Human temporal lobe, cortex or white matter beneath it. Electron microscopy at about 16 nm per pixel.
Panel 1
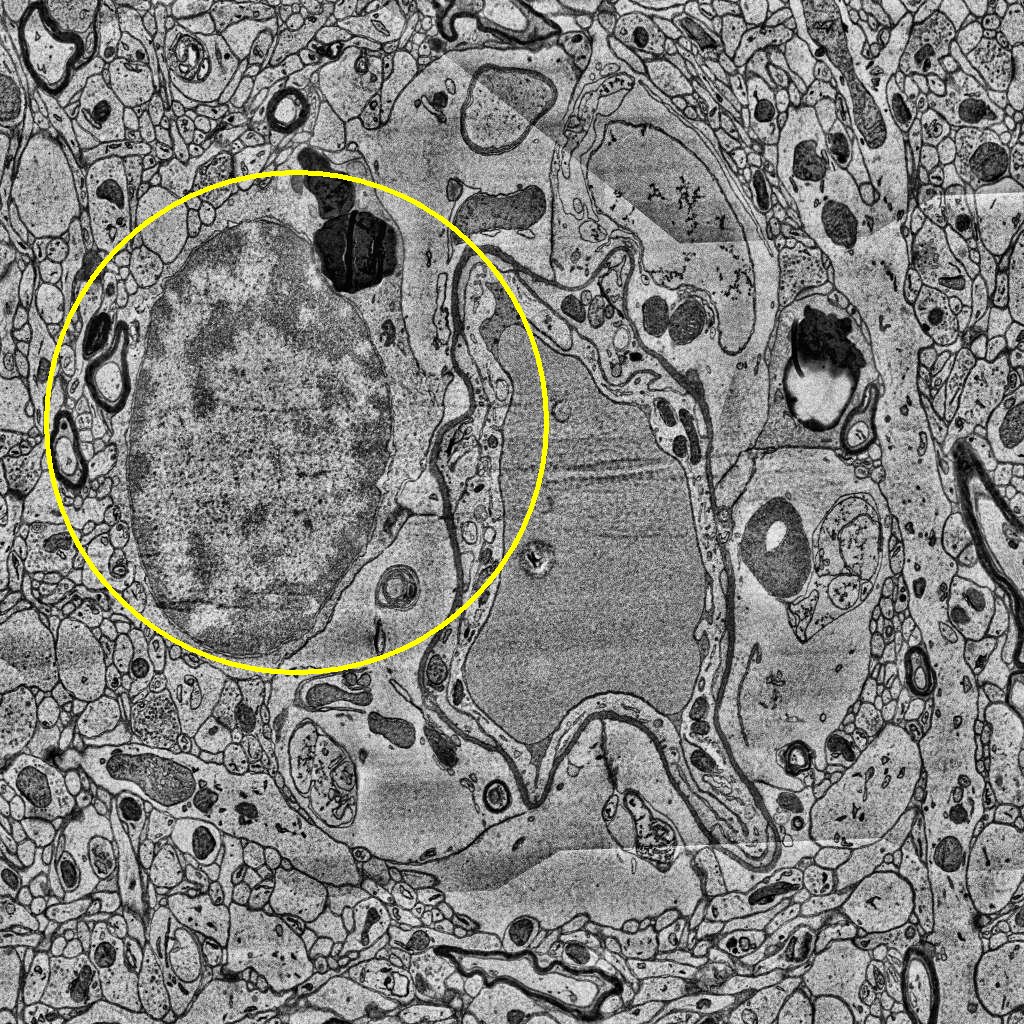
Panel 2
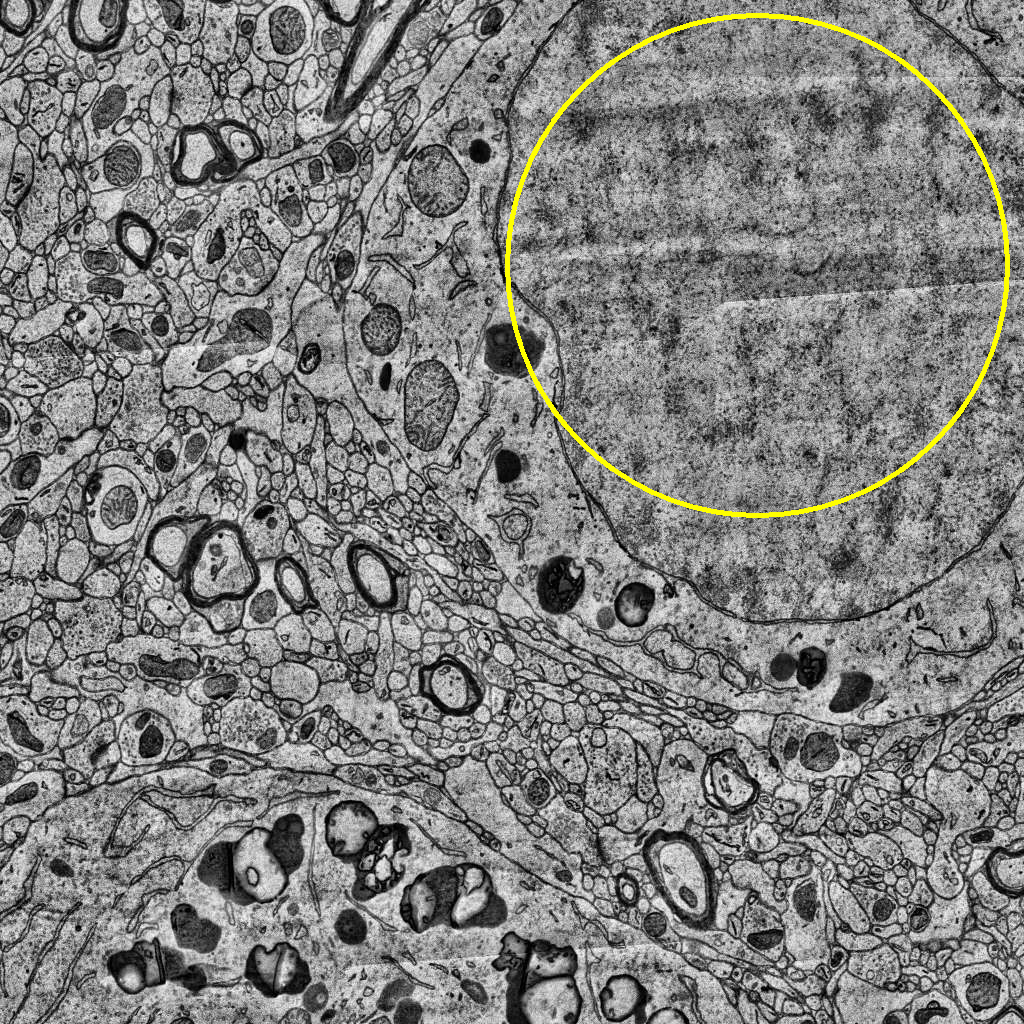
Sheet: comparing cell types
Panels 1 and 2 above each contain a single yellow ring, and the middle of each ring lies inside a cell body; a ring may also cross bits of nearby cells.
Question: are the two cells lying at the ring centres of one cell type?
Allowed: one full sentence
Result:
No, the cells at the ring centres in Panel 1 and Panel 2 are of two types.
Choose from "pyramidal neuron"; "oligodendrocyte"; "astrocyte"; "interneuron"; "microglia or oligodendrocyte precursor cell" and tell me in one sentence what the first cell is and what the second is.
The cell in the second picture is a pyramidal neuron, and that in the first is an oligodendrocyte.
